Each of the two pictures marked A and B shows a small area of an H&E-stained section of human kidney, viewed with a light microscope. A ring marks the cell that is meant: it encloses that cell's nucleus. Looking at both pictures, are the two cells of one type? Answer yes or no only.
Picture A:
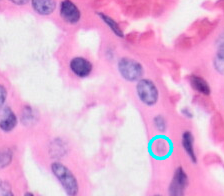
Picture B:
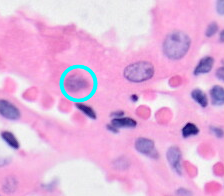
no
